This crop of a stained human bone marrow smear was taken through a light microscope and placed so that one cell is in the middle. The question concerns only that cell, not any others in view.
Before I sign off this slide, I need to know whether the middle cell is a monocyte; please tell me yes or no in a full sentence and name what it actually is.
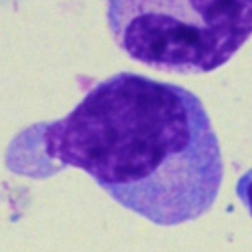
Yes, the crop is centred on a monocyte.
